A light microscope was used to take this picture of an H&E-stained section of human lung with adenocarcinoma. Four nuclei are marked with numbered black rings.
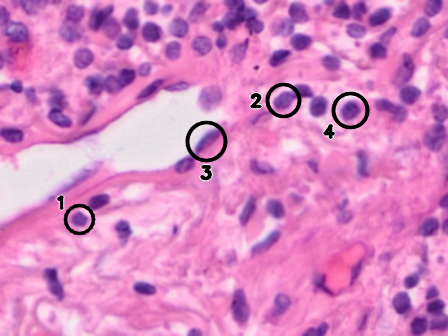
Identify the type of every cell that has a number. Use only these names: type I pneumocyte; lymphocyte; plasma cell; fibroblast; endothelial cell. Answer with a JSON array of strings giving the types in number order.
["lymphocyte", "lymphocyte", "endothelial cell", "lymphocyte"]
